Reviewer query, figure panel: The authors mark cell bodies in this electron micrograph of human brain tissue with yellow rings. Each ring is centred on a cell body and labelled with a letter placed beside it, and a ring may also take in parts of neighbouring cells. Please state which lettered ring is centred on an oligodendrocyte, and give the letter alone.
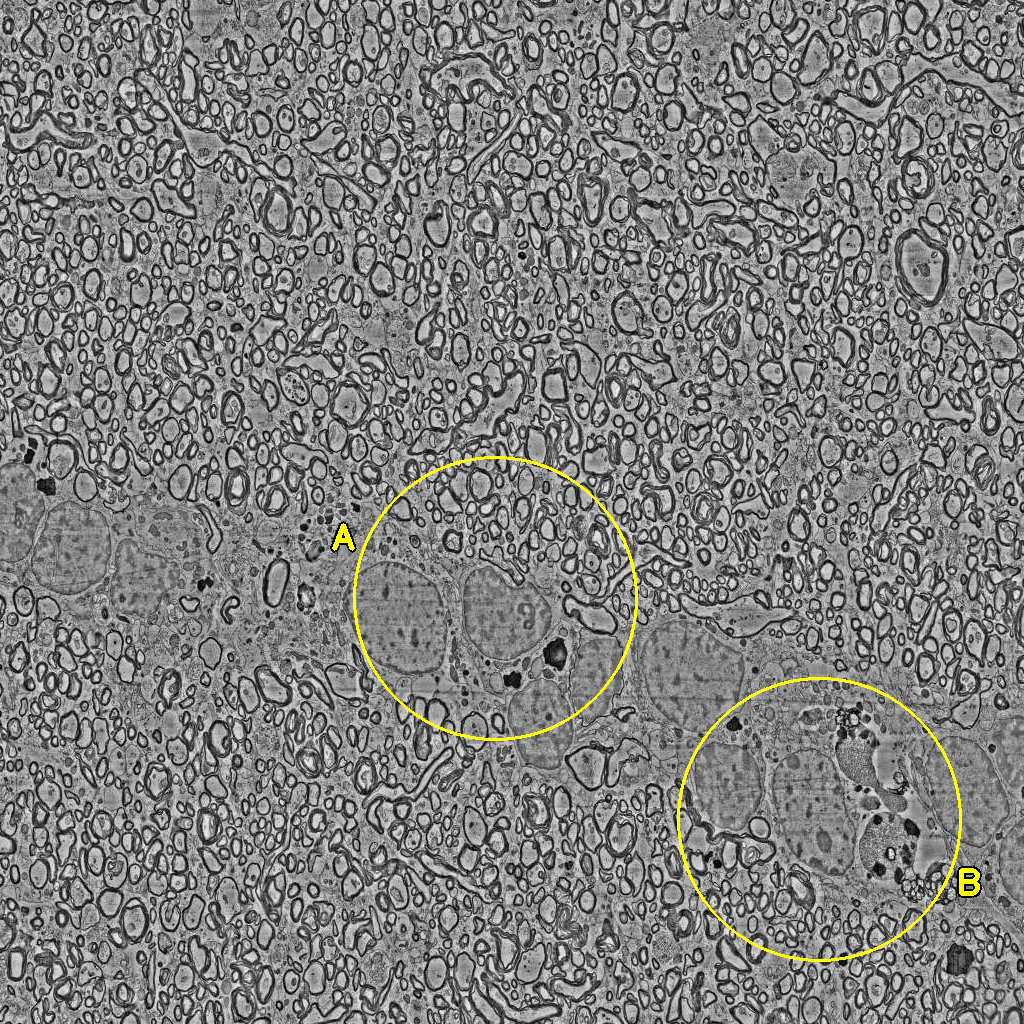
A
